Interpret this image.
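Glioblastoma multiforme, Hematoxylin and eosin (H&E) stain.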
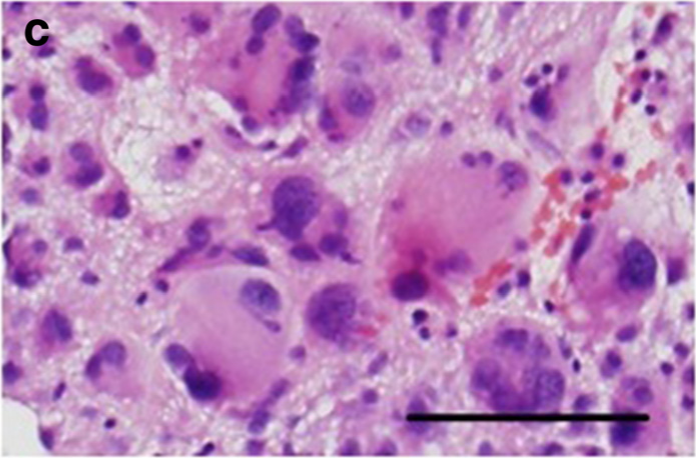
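Tumour tissue with many giant cells. The giant cells are rounded or polygonal and far larger than the small cells around them, with abundant, glassy pink cytoplasm. Their nuclei are large, dark purple and irregular; some cells hold several nuclei, clustered or placed at the edge of the cytoplasm. Between the giant cells lies a pale, finely vacuolated pink background with scattered small dark nuclei. A short line of red blood cells runs through the field on the right, emphasising by comparison the great size of the tumour cells.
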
